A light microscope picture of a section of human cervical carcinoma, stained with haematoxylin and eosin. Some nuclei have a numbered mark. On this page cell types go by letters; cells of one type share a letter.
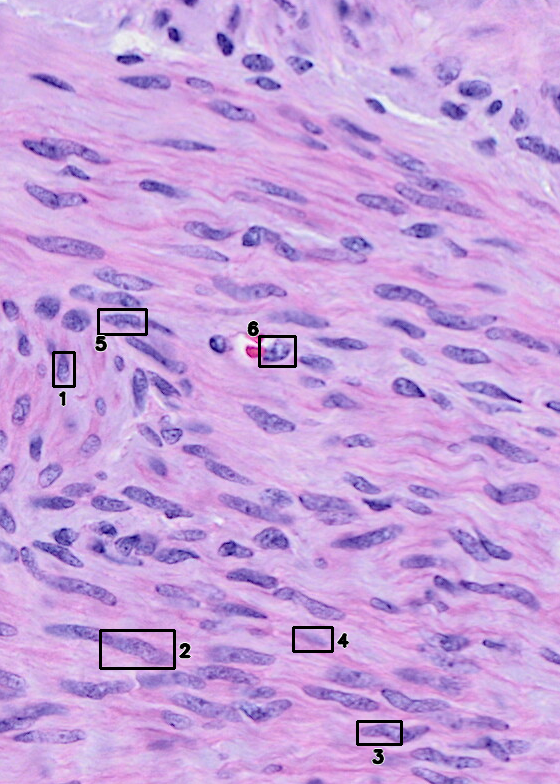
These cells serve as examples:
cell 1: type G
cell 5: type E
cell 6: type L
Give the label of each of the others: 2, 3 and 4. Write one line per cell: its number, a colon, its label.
2: type G
3: type G
4: type G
